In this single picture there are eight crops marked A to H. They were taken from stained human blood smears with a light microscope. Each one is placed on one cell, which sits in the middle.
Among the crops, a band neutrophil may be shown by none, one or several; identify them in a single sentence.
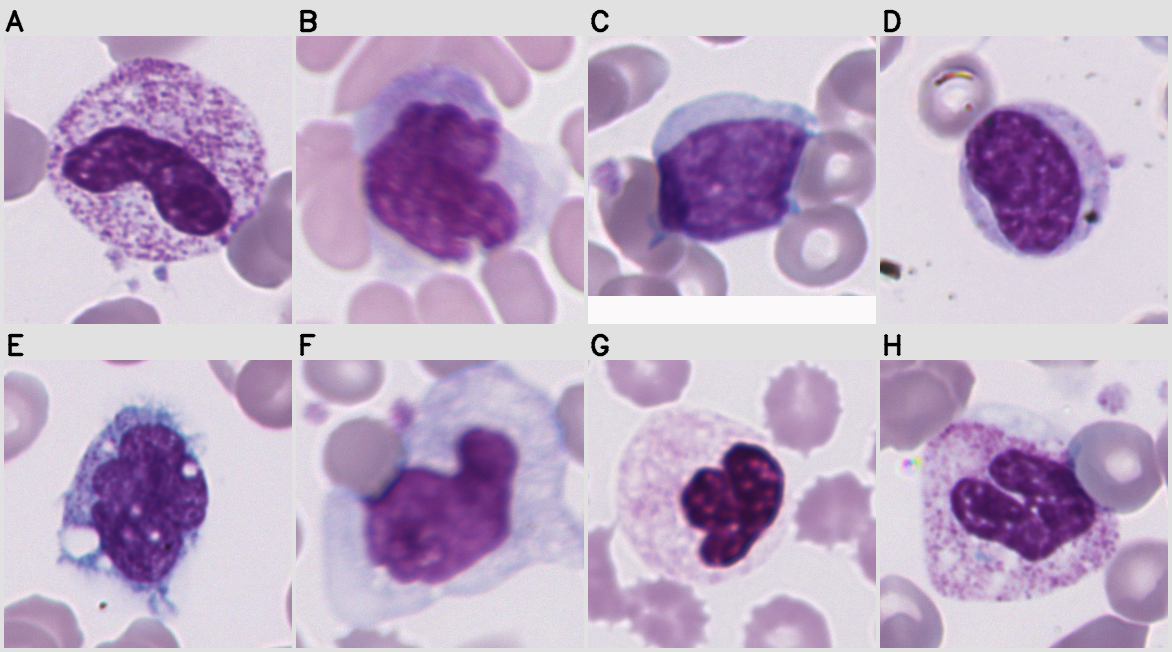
None of the crops except crop A shows a band neutrophil.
